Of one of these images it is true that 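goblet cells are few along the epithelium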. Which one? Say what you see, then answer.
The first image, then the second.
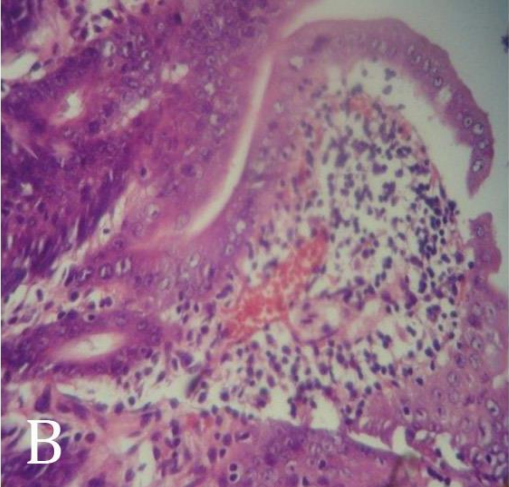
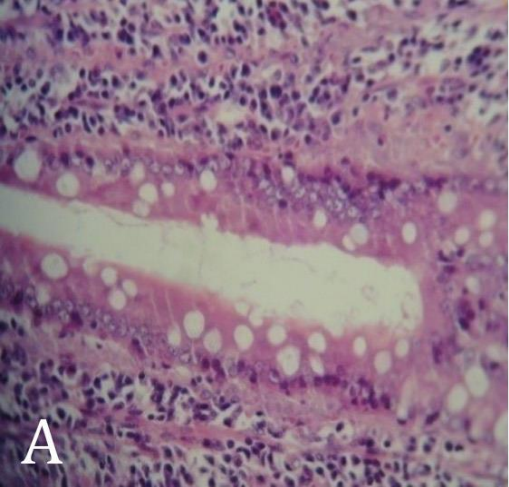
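First image: the epithelium lining the villus is mostly pink columnar cells with hardly any clear vacuoles. Second image: many round clear vacuoles stud the epithelium along both sides of the lumen.
Answer: the first image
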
